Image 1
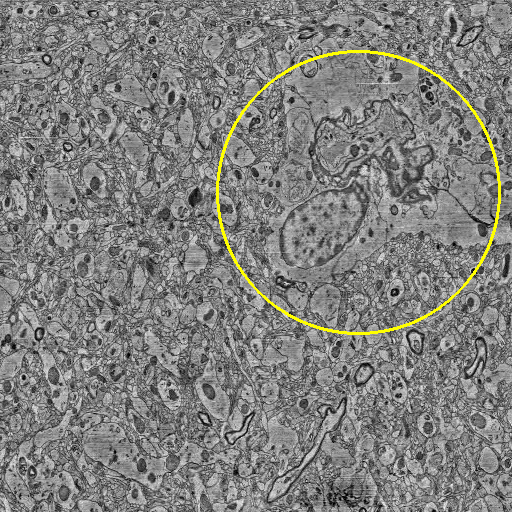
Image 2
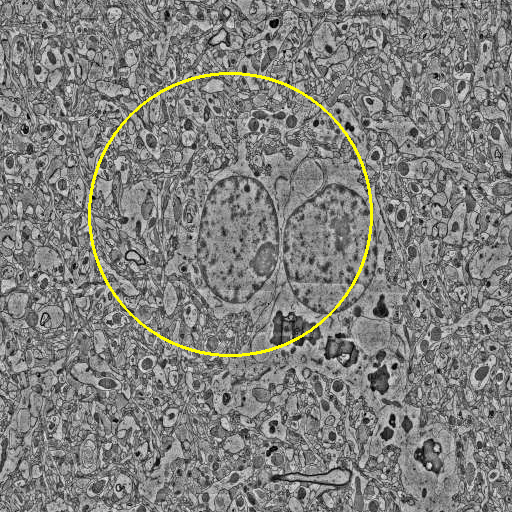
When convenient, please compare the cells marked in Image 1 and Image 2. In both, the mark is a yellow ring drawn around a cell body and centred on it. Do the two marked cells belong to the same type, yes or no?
no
